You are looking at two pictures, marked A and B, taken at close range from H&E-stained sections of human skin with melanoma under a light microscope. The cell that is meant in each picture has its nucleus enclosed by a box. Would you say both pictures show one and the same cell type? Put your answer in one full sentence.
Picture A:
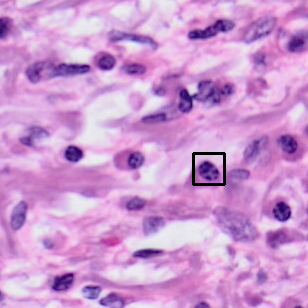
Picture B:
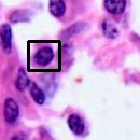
Yes, both are plasma cells.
